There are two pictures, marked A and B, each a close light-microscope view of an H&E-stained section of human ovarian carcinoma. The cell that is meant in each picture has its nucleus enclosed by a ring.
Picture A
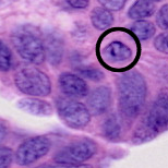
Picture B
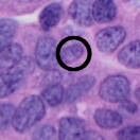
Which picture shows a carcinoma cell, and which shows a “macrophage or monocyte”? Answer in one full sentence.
Picture A is of a “macrophage or monocyte”, and picture B is of a carcinoma cell.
